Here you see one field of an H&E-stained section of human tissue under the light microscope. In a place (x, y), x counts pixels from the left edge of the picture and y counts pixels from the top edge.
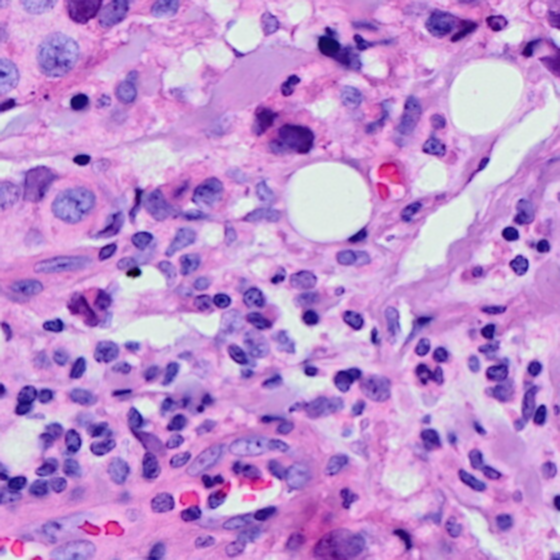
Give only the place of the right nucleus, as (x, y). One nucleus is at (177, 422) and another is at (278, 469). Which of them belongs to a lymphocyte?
(177, 422)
